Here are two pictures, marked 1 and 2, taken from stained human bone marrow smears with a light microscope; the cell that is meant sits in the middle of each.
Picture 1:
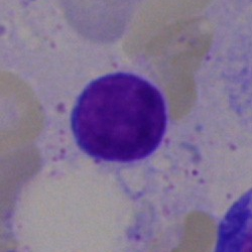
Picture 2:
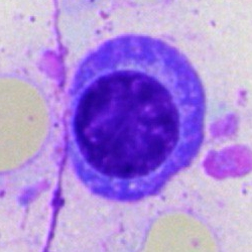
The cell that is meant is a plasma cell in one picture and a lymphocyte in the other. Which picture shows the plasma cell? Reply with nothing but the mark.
2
